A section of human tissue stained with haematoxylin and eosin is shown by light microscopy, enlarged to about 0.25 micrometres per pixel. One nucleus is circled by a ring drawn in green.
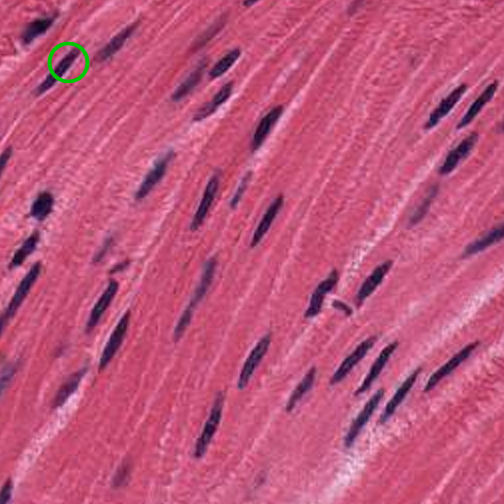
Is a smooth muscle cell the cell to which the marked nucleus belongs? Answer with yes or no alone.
yes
